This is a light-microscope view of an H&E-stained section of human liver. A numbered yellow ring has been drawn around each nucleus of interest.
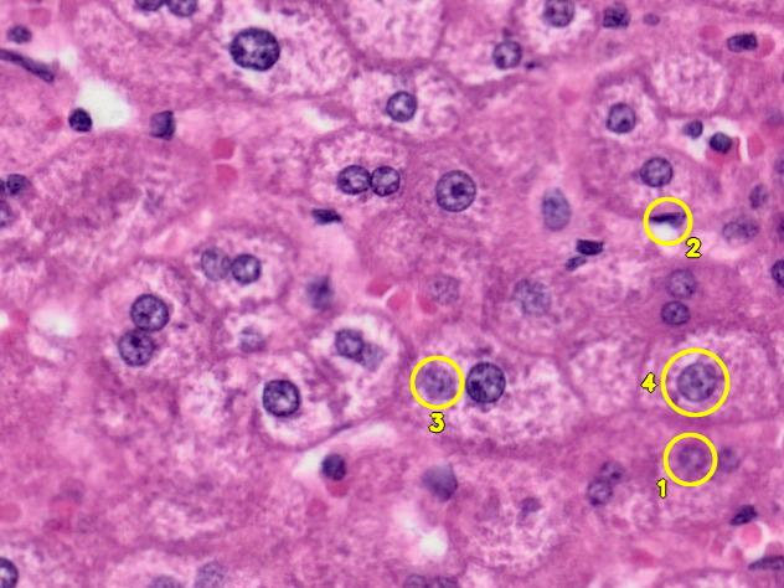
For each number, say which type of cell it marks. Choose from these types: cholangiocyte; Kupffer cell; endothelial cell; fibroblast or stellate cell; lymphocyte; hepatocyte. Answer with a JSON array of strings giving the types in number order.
["hepatocyte", "endothelial cell", "hepatocyte", "hepatocyte"]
